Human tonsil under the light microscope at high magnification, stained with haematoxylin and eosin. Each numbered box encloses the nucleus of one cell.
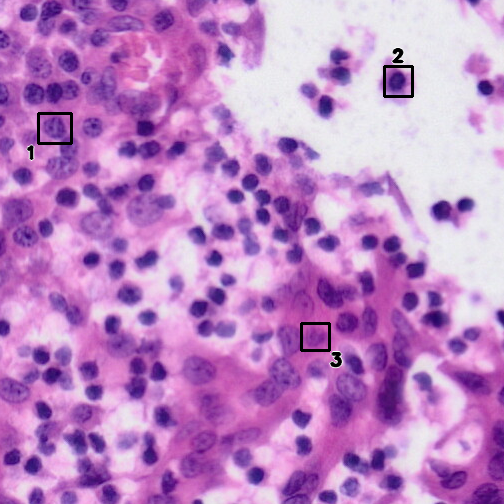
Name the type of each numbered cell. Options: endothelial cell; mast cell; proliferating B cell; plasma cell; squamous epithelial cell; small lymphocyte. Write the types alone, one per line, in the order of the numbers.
plasma cell
plasma cell
squamous epithelial cell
